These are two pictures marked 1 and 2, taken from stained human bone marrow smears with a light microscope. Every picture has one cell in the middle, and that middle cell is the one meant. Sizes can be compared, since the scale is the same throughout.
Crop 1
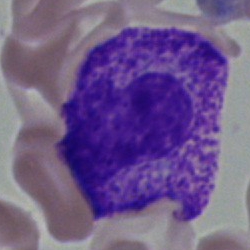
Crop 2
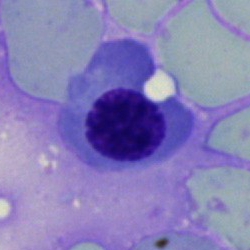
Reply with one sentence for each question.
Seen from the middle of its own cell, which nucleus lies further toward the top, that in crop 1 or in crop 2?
It is the nucleus in crop 1 that lies further toward the top of its cell.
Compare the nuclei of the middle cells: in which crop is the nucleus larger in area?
The nucleus in crop 1 is larger, with about 3 times the area of the one in crop 2.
